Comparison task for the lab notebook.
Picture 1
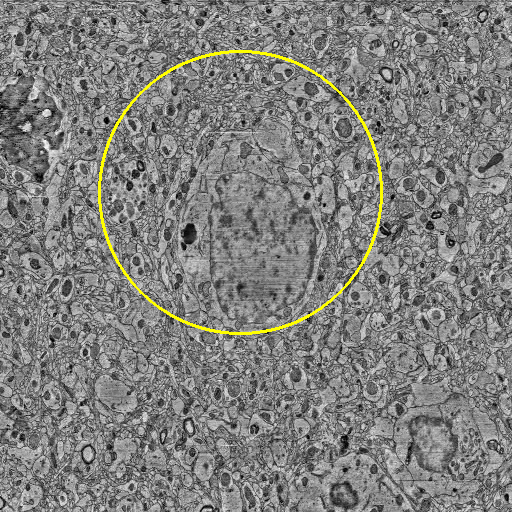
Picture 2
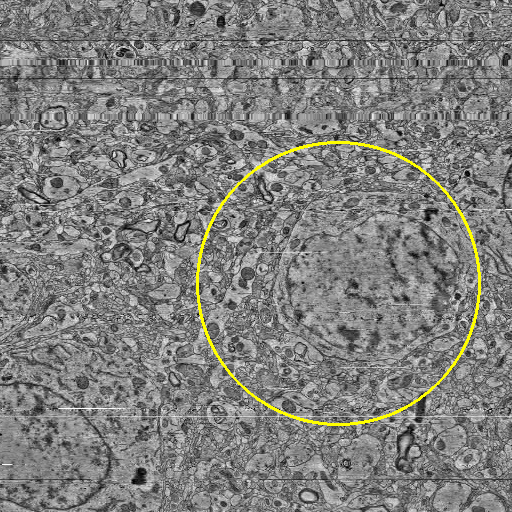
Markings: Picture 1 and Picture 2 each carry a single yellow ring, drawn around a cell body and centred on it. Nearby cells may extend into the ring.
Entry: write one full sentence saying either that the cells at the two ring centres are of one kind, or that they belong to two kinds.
The cells sitting at the ring centres in Picture 1 and Picture 2 are of one kind.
